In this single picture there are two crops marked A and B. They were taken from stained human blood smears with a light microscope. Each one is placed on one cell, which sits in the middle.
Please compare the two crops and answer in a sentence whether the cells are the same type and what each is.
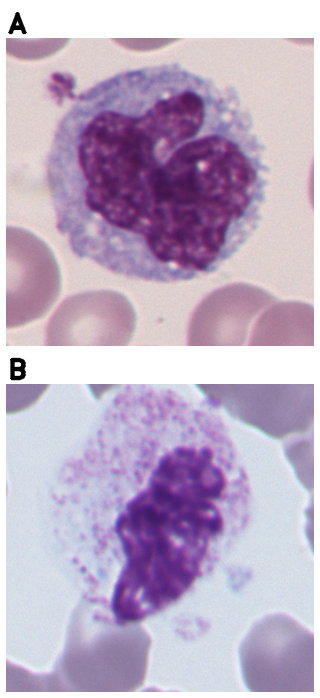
No, a monocyte is shown in crop A and a segmented neutrophil in crop B.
